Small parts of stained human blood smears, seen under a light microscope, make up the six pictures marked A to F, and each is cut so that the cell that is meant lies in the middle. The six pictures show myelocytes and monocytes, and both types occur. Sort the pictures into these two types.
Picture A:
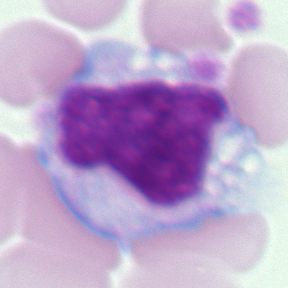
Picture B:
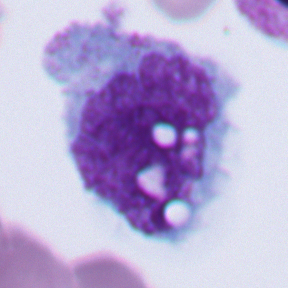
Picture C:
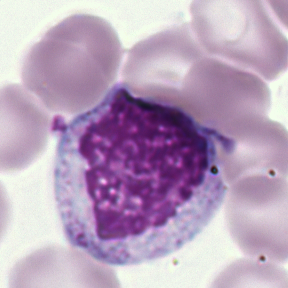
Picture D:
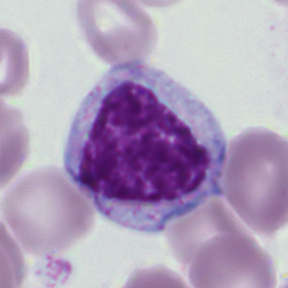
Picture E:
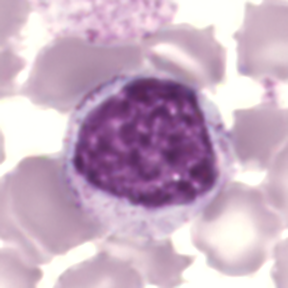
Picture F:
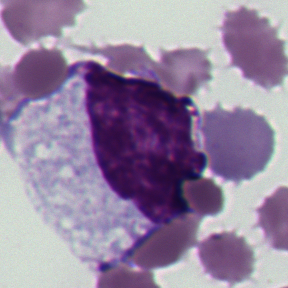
A: monocyte
B: monocyte
C: myelocyte
D: myelocyte
E: myelocyte
F: monocyte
